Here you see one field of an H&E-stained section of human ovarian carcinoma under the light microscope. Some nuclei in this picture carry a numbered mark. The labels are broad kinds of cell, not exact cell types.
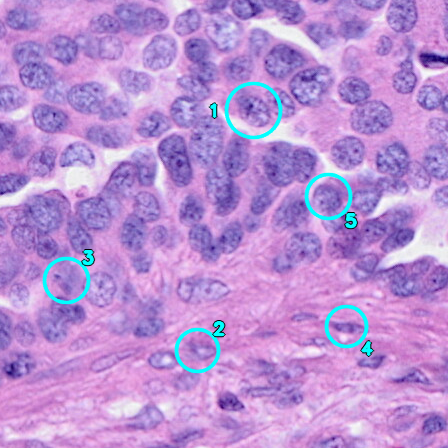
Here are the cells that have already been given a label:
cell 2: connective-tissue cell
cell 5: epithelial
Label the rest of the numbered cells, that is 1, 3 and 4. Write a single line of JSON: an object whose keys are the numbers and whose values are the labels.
{"1": "epithelial", "3": "epithelial", "4": "connective-tissue cell"}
